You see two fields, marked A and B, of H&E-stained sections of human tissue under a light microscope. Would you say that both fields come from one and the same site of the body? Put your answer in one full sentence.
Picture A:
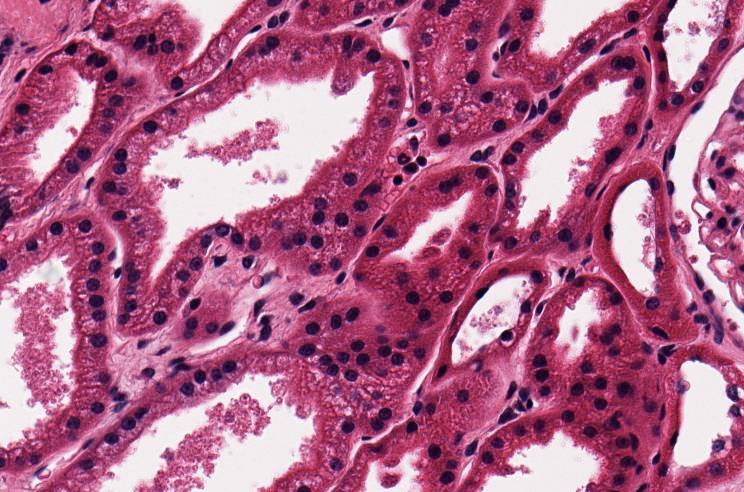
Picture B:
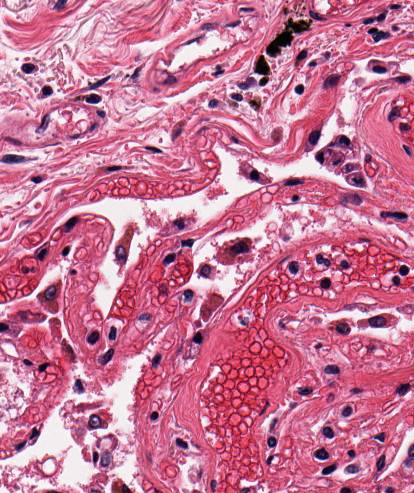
No, they differ: picture A comes from the renal cortex, and picture B comes from the lung.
